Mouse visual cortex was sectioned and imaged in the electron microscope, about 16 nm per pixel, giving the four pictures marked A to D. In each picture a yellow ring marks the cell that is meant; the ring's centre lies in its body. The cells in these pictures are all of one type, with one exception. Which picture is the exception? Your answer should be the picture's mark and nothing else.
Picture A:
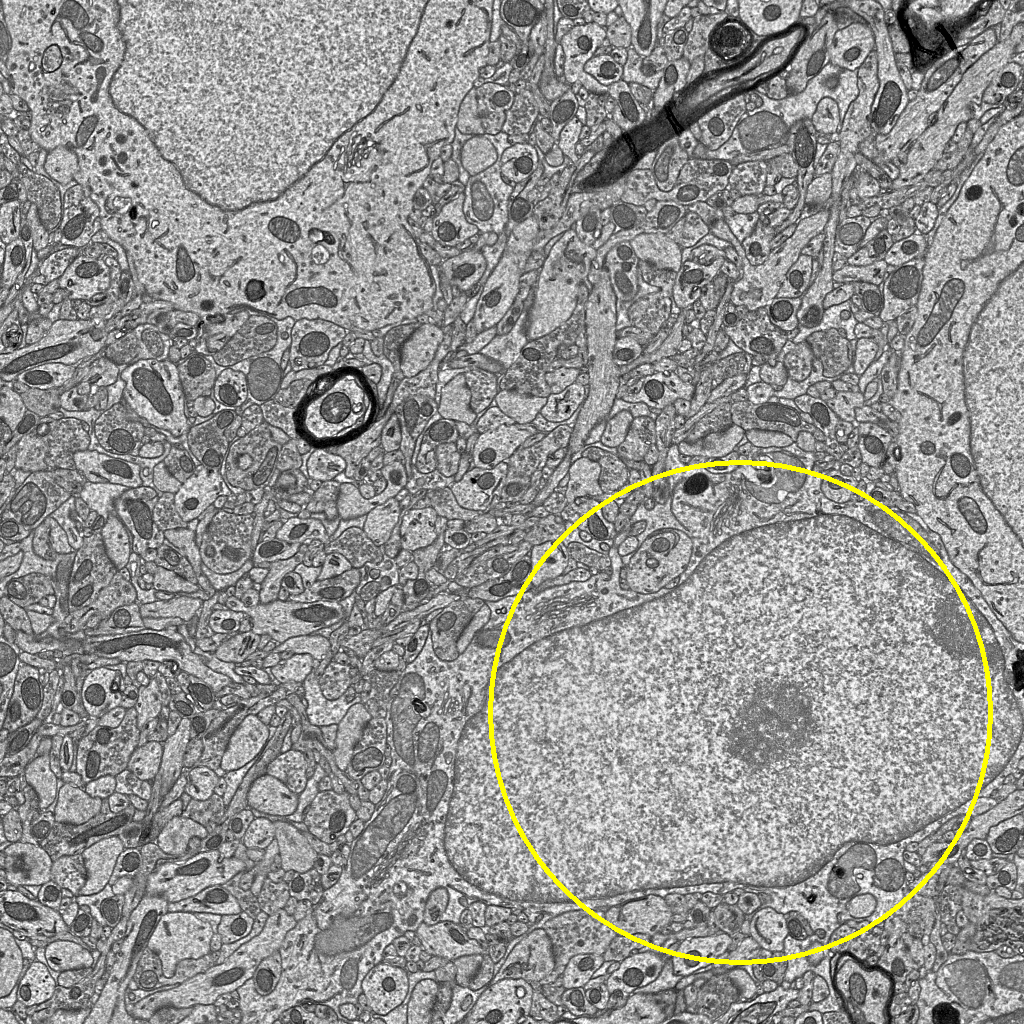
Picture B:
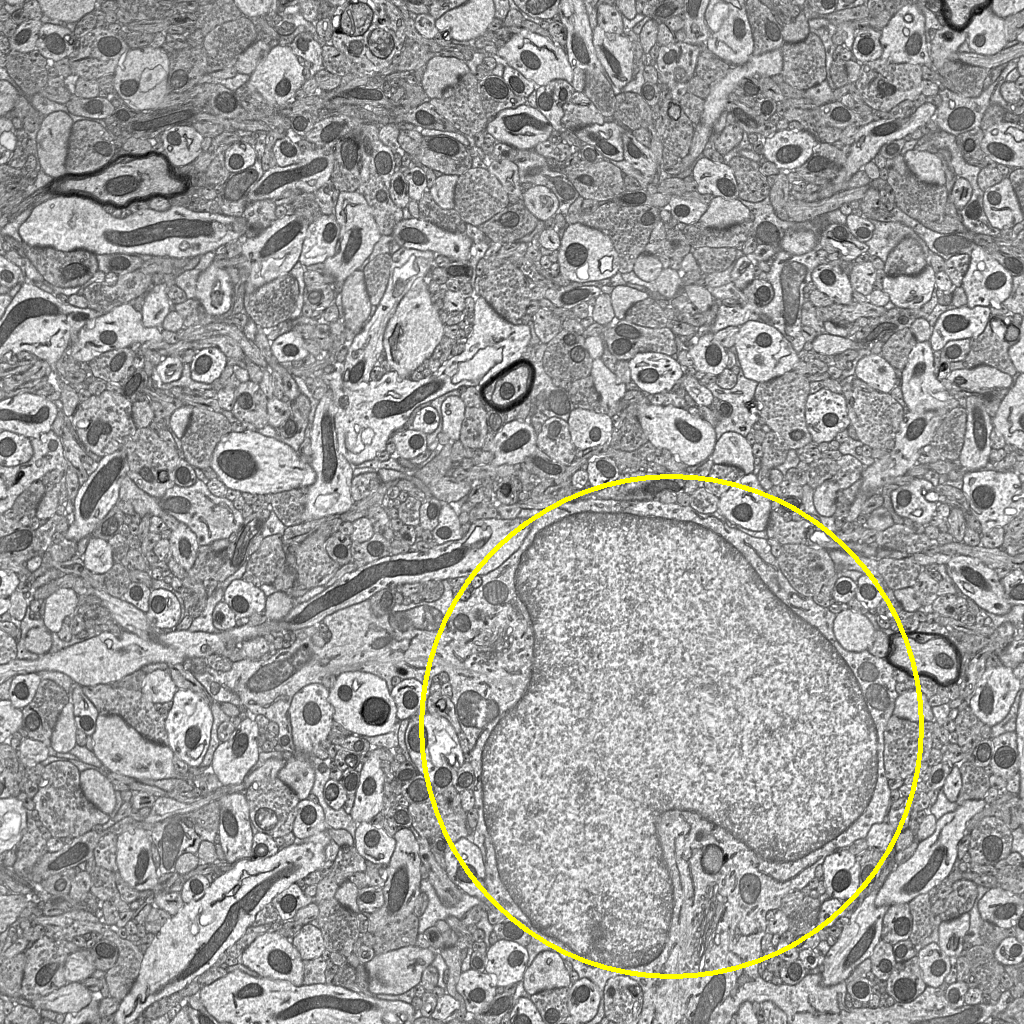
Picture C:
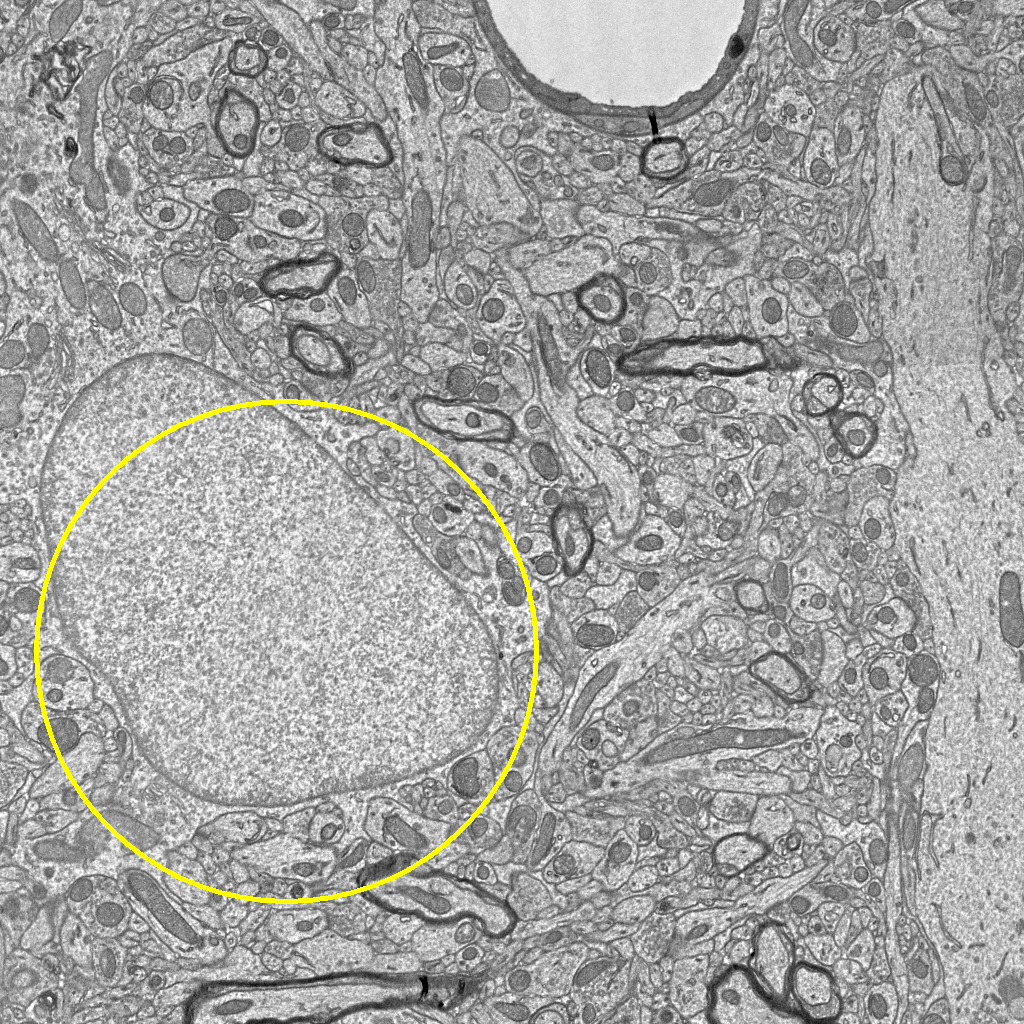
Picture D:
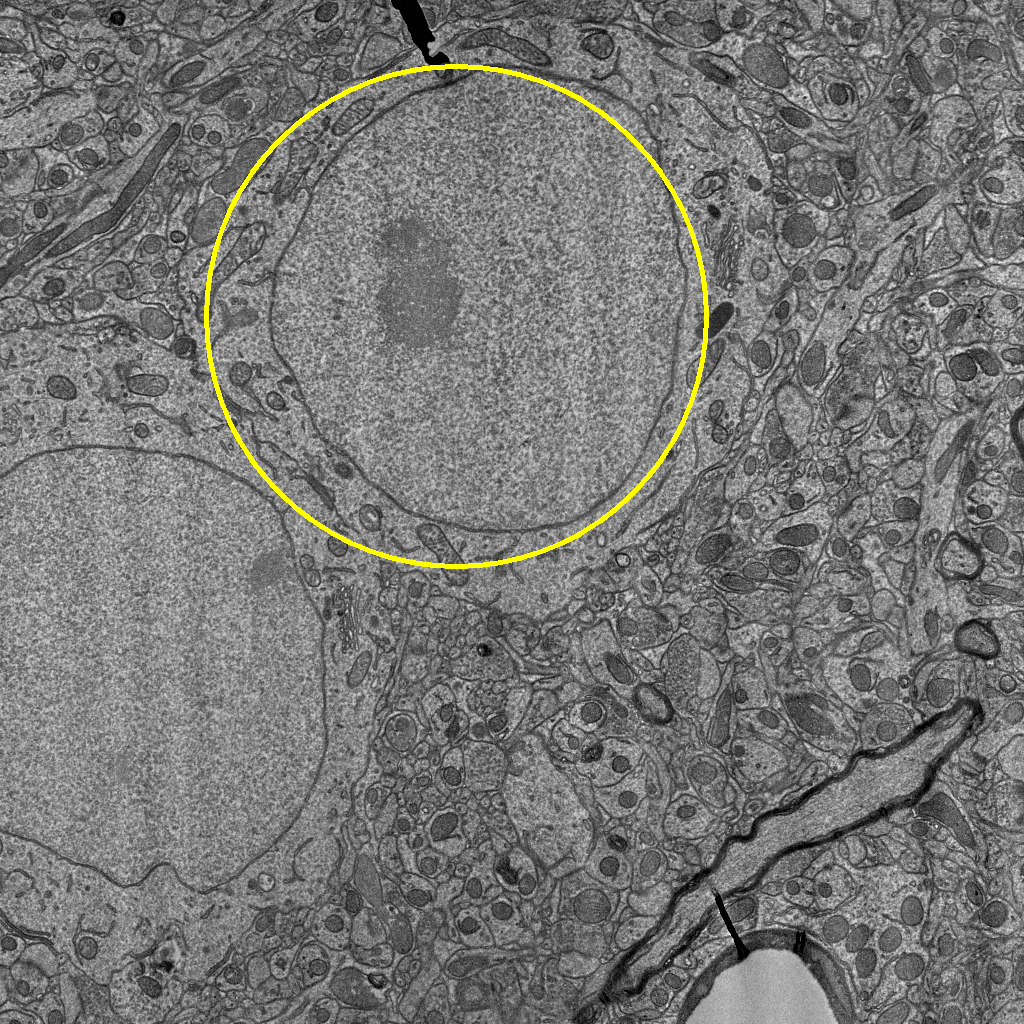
D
